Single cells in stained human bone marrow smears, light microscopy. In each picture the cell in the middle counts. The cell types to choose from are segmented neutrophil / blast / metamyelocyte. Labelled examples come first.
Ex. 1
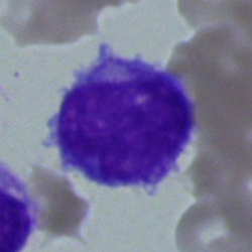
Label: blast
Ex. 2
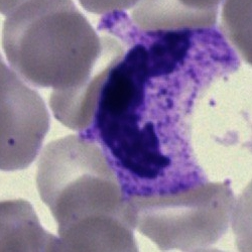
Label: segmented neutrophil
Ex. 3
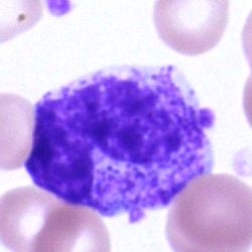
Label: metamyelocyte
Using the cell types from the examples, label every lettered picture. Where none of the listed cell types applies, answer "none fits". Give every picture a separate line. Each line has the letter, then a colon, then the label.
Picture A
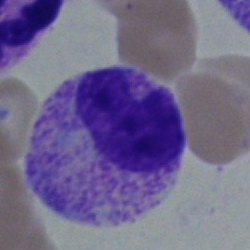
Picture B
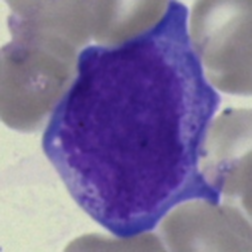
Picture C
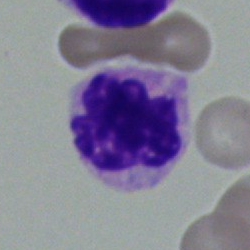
A: metamyelocyte
B: blast
C: segmented neutrophil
